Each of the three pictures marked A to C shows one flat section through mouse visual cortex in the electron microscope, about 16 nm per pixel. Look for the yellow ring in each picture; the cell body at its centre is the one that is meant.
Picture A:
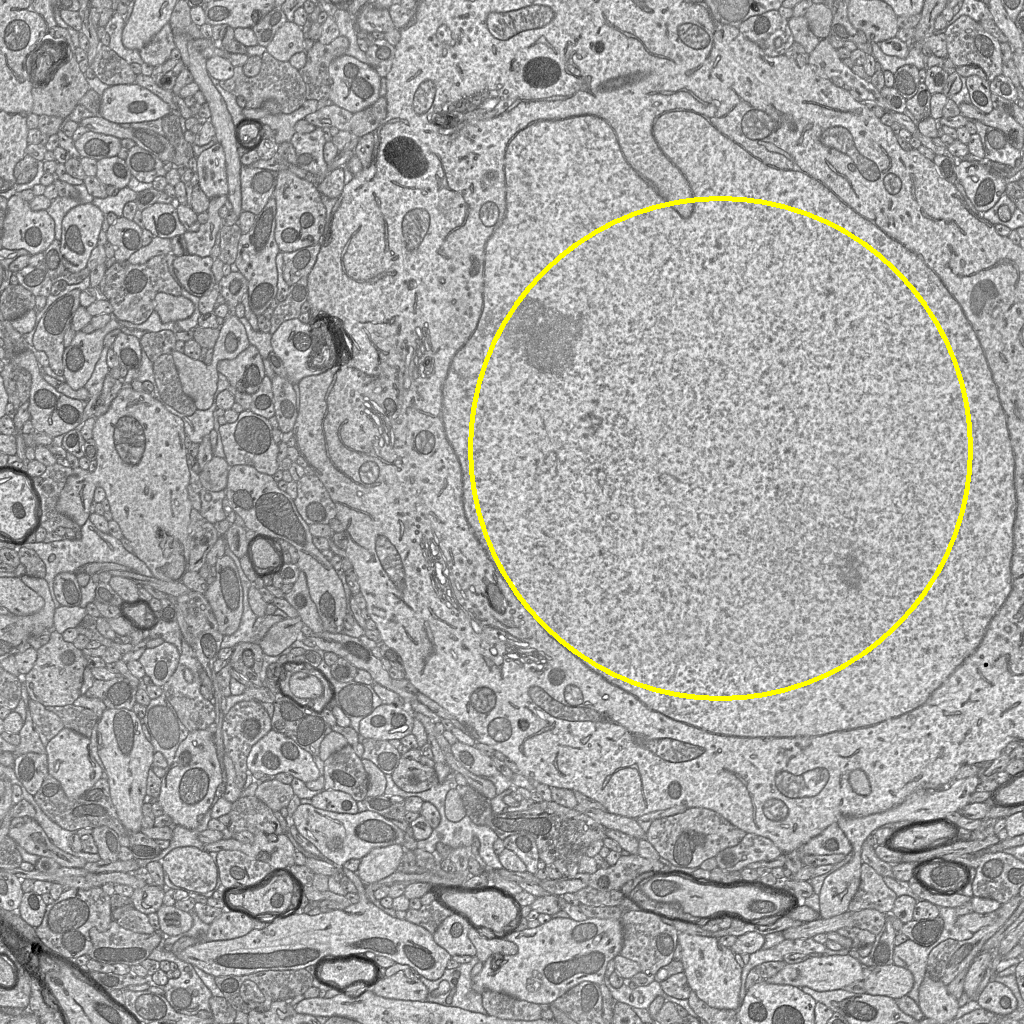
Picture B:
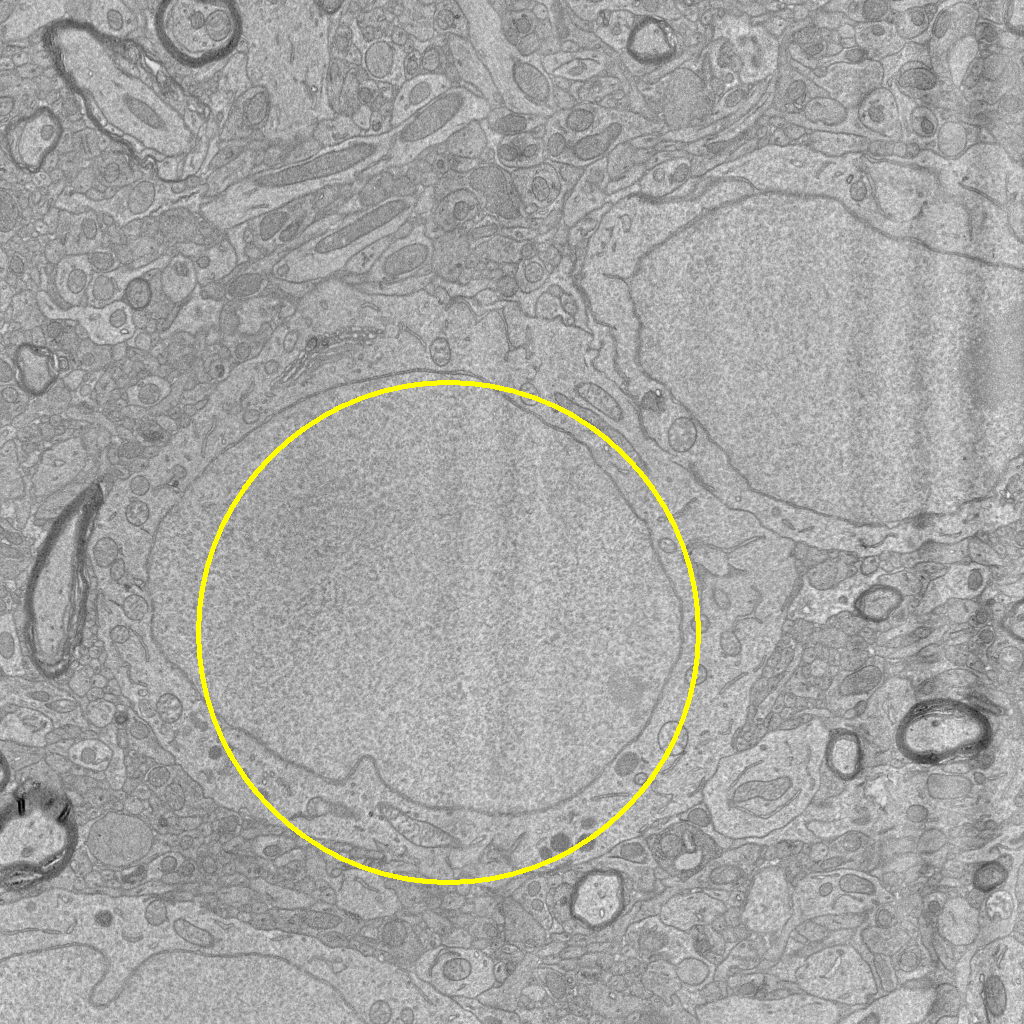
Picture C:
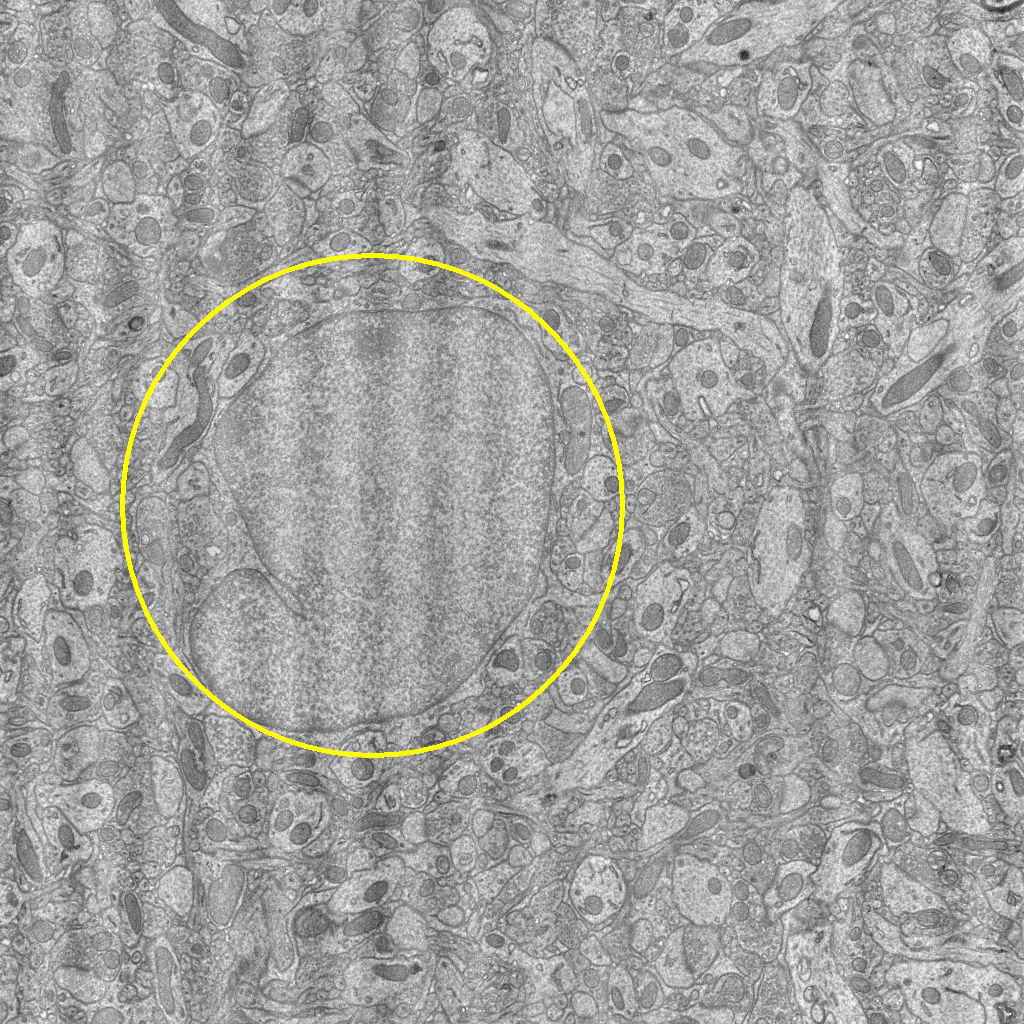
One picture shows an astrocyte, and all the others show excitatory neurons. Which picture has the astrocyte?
Picture C shows the astrocyte.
